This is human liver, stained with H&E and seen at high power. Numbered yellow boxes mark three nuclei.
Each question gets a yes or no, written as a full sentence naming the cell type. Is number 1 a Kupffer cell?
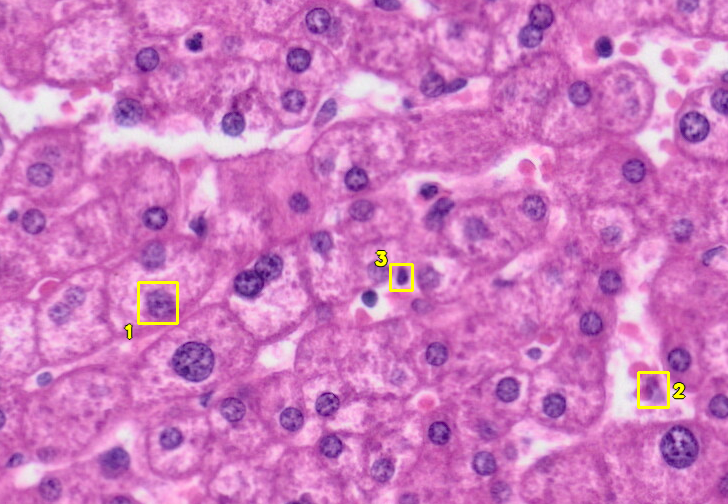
No, the cell bearing number 1 is not a Kupffer cell but a hepatocyte.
